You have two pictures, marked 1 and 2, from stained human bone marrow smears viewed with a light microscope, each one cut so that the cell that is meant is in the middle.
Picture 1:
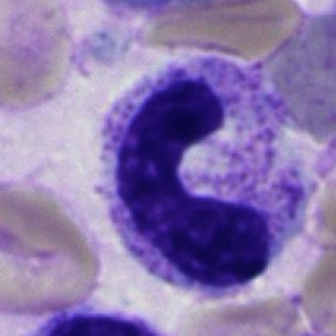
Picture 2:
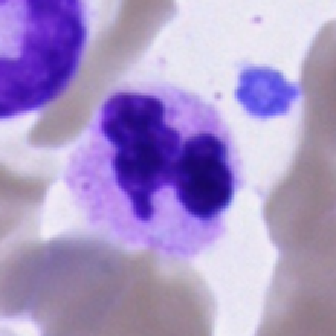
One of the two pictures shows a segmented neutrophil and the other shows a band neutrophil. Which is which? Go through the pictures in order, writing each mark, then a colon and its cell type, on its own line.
1: band neutrophil
2: segmented neutrophil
